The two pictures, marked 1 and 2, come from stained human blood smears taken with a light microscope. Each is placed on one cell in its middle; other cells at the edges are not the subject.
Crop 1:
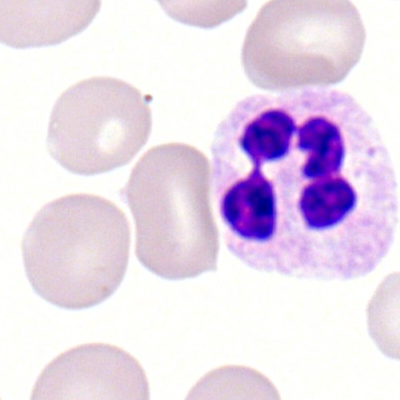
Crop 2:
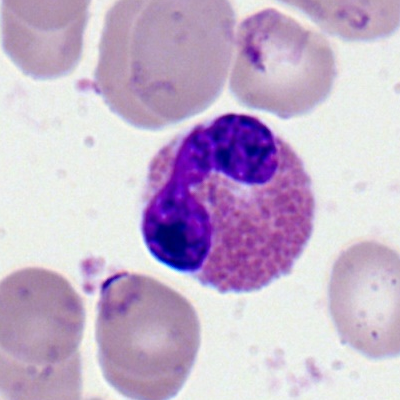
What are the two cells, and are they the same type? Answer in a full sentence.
No, crop 1 shows a segmented neutrophil and crop 2 shows an eosinophil.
